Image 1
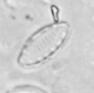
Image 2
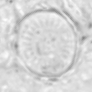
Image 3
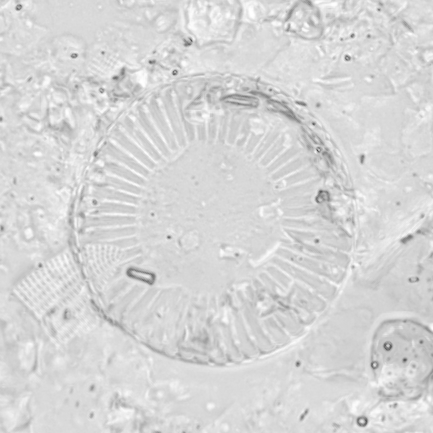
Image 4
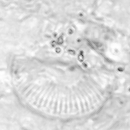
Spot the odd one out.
Picture 1 (Nitzschia among Cyclotella).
